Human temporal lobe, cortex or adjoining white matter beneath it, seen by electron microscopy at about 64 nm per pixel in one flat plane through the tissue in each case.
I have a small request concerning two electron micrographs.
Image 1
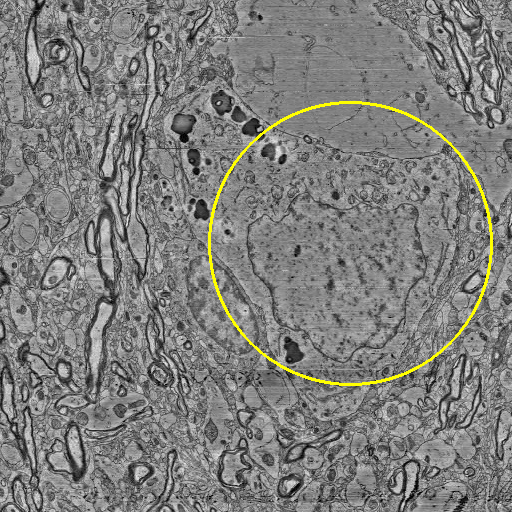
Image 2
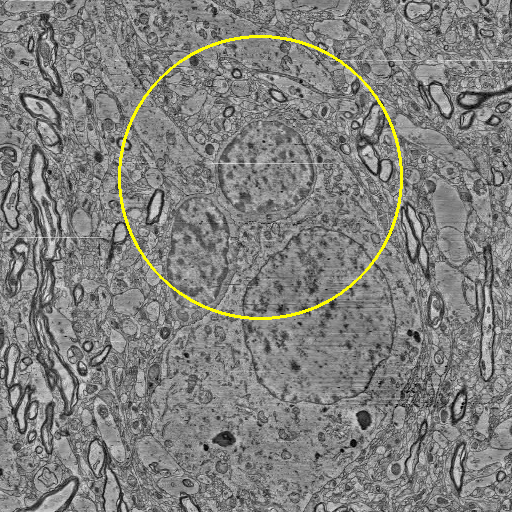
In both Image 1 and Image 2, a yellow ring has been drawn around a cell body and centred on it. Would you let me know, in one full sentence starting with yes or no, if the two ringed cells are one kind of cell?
No, the cells ringed in Image 1 and Image 2 are two kinds of cell.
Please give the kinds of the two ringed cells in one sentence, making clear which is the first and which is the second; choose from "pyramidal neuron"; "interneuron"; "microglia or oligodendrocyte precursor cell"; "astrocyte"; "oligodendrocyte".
In the second picture the ringed cell is an oligodendrocyte; in the first it is a pyramidal neuron.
